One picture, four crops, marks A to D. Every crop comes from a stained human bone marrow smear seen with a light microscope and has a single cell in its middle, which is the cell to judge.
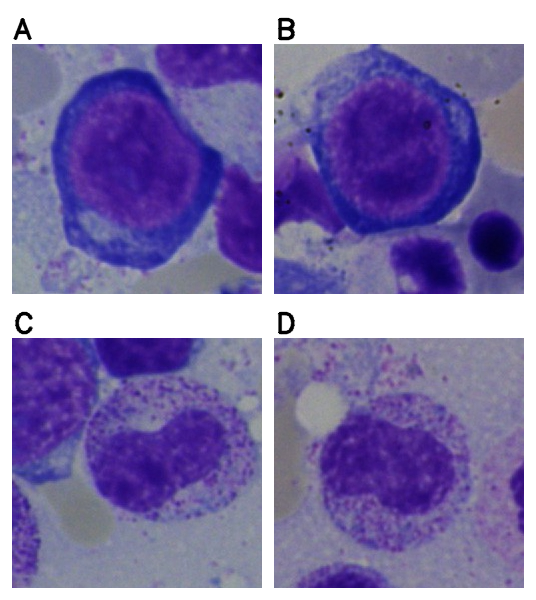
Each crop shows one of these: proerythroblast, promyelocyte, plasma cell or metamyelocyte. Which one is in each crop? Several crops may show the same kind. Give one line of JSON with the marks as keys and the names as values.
{"A": "proerythroblast", "B": "proerythroblast", "C": "metamyelocyte", "D": "metamyelocyte"}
